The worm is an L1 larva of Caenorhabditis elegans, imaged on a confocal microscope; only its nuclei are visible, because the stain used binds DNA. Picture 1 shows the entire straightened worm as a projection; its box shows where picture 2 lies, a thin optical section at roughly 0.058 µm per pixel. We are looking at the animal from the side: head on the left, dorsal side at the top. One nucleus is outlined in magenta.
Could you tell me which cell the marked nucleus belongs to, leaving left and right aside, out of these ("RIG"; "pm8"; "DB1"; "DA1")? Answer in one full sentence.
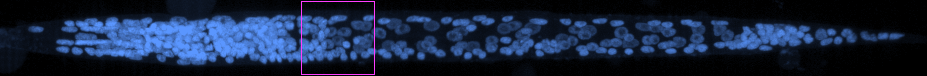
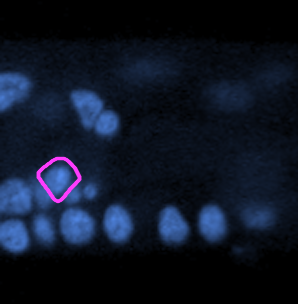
This is the nucleus of pm8, a pharyngeal muscle cell.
